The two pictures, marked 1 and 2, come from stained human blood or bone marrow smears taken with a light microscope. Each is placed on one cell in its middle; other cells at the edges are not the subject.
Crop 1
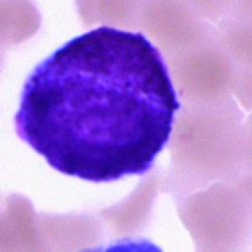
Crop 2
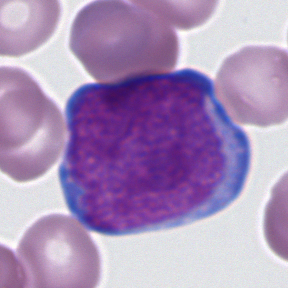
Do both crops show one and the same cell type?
yes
